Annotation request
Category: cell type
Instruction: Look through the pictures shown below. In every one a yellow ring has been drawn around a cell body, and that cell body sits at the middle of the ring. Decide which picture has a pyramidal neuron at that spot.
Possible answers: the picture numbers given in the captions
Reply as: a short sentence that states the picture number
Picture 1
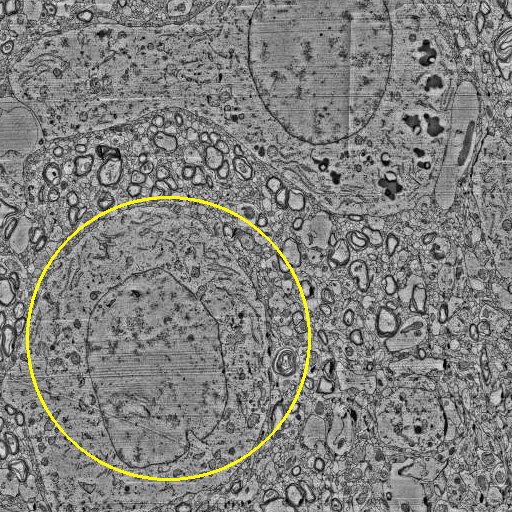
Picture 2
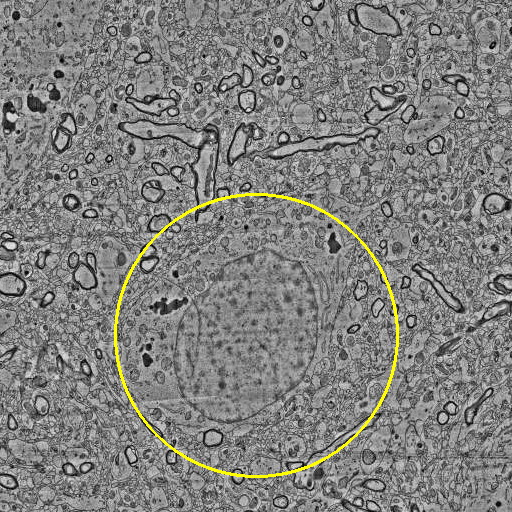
It is in Picture 1.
